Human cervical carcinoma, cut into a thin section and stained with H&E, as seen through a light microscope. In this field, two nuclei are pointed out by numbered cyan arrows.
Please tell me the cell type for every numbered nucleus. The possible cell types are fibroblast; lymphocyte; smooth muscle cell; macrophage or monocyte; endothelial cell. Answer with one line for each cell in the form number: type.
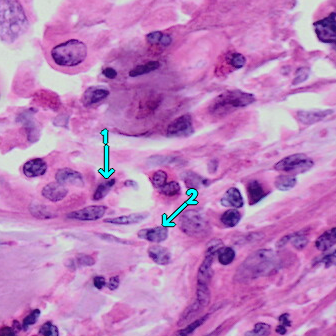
1: macrophage or monocyte
2: lymphocyte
